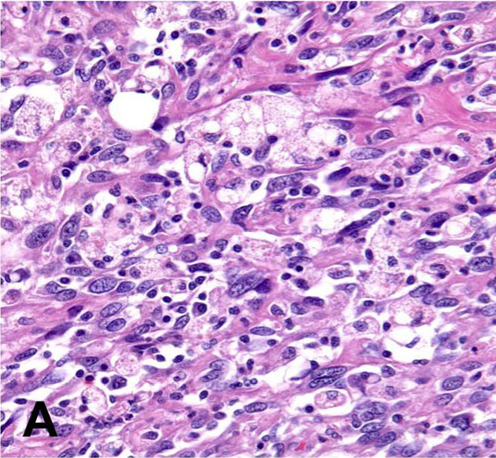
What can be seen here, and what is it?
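This is a densely cellular tumor made of plump spindle-shaped cells mixed with larger histiocyte-like cells and scattered small inflammatory cells. The spindle and oval cells have elongated to oval purple nuclei that vary in size, with coarse chromatin and small nucleoli. The histiocyte-like cells have abundant pale, bubbly, vacuolated cytoplasm and lie in clusters between the spindle cells. Strands of pink eosinophilic stroma run between the cells in a roughly streaming, intersecting arrangement. Small cells with round, dark, compact nuclei are scattered throughout.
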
